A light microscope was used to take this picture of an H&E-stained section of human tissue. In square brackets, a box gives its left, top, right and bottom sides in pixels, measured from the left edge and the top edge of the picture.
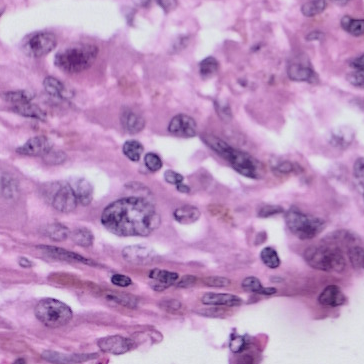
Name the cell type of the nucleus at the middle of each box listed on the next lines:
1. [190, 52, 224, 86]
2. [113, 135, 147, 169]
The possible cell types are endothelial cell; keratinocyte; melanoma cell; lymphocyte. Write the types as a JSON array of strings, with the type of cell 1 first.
["melanoma cell", "lymphocyte"]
